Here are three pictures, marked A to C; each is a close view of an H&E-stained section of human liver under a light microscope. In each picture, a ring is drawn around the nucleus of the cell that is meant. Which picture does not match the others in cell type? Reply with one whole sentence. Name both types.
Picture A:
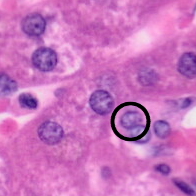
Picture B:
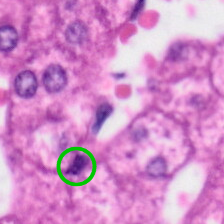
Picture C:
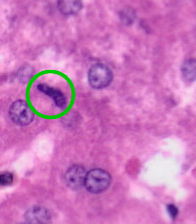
Picture A is the odd one out: it shows a cholangiocyte, while the others show “fibroblasts or stellate cells”.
